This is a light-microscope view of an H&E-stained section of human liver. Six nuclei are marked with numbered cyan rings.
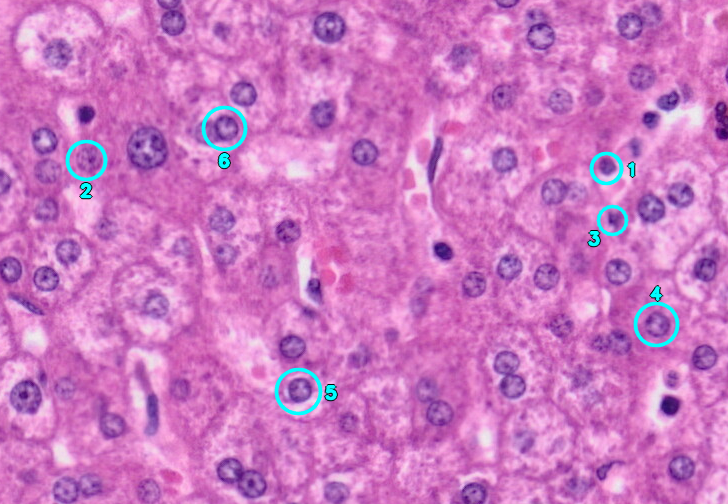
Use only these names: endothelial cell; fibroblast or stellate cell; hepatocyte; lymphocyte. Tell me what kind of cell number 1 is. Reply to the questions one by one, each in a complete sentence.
The label 1 in this section denotes a lymphocyte.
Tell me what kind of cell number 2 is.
The label 2 in this section denotes a hepatocyte.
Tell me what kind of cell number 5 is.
The cell numbered 5 has been identified as a hepatocyte.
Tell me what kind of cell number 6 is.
Within this field of view, the cell labelled 6 is a hepatocyte.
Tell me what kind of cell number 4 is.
Heads up, the cell numbered 4 is a hepatocyte.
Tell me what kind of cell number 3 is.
The expected answer is that cell 3 is a fibroblast or stellate cell.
